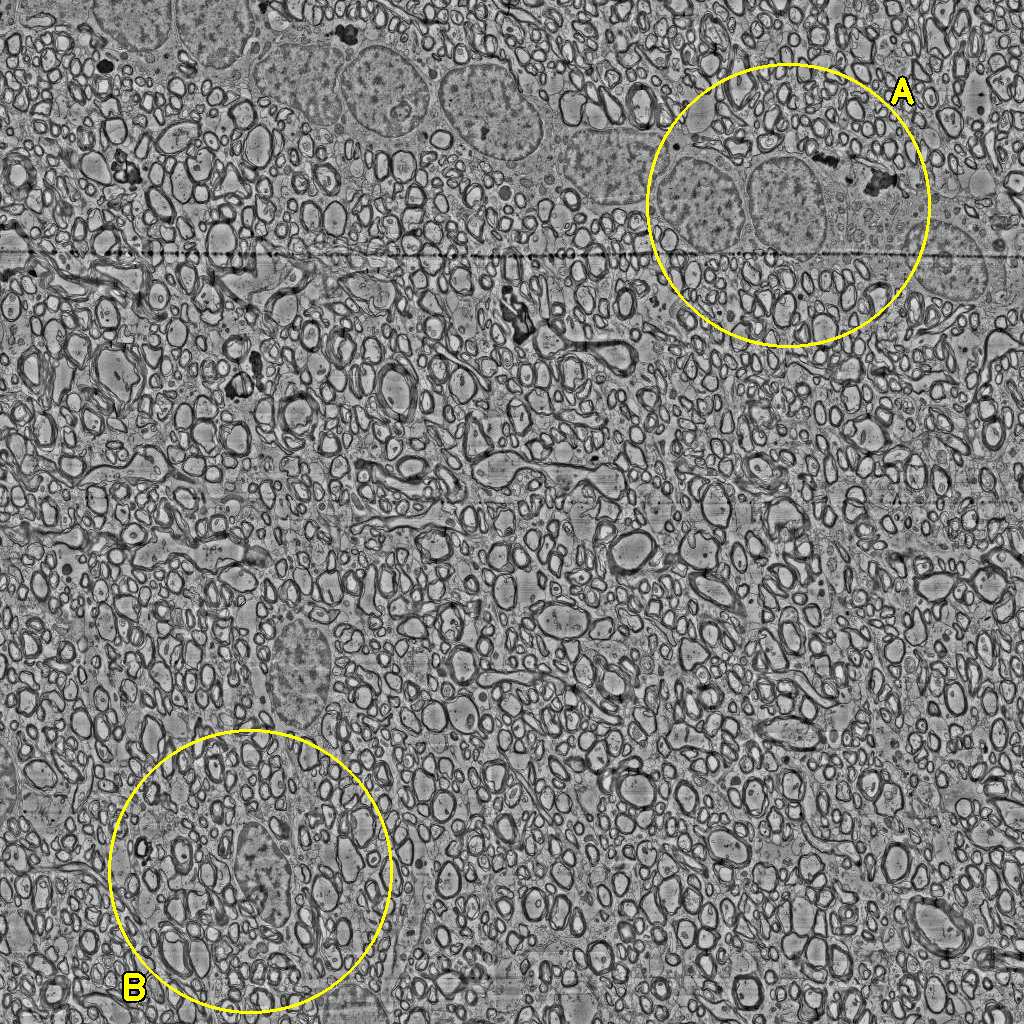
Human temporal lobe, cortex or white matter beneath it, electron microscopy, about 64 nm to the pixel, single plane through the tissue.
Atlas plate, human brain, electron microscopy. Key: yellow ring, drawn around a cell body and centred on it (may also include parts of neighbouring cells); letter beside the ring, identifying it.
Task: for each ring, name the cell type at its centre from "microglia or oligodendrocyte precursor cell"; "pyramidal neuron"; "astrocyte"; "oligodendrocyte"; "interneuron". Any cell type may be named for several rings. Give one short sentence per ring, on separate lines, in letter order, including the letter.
Ring A is centred over an oligodendrocyte.
Ring B is centred over a microglial cell or oligodendrocyte precursor cell.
